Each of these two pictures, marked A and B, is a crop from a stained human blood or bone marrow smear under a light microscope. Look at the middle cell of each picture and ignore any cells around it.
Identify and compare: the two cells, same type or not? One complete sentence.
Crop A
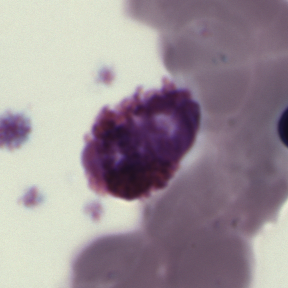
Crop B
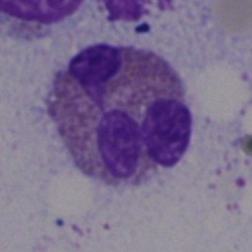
Yes, the two crops show eosinophils at their centres.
